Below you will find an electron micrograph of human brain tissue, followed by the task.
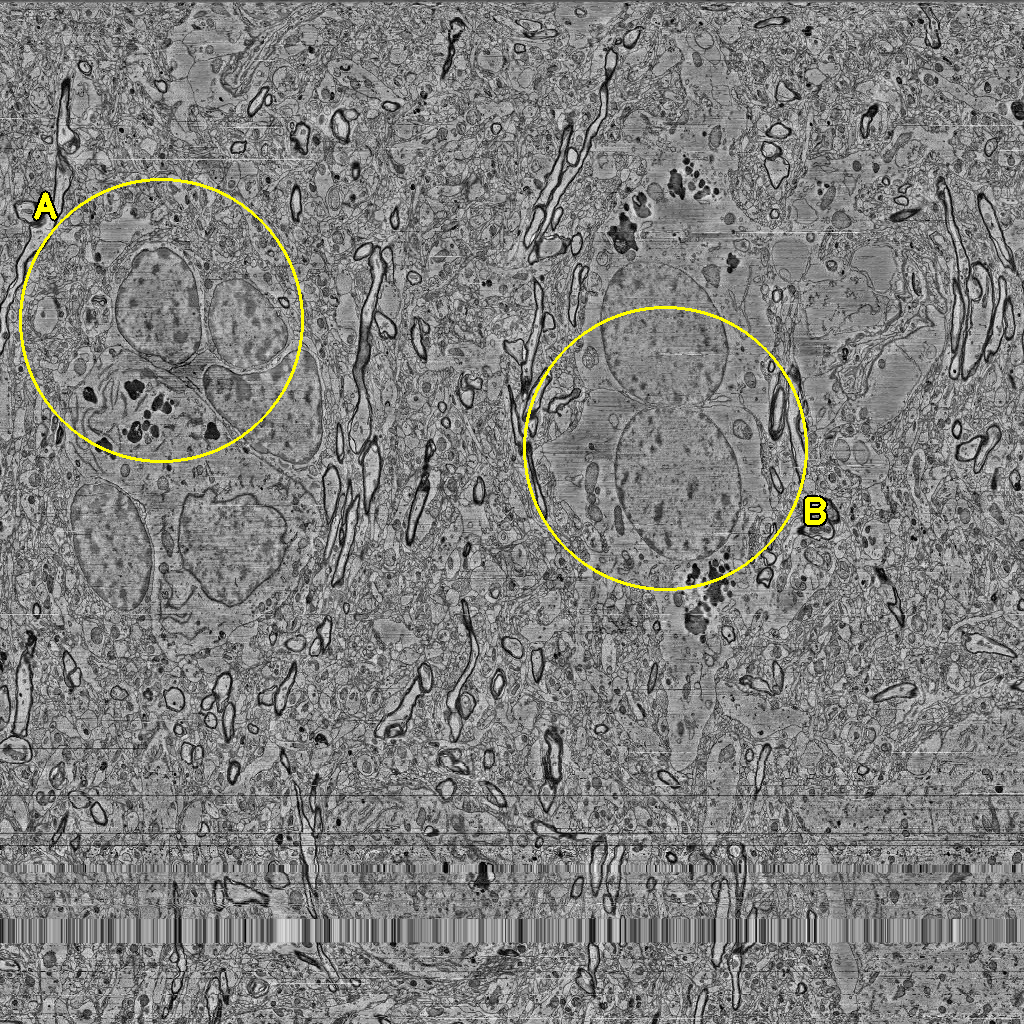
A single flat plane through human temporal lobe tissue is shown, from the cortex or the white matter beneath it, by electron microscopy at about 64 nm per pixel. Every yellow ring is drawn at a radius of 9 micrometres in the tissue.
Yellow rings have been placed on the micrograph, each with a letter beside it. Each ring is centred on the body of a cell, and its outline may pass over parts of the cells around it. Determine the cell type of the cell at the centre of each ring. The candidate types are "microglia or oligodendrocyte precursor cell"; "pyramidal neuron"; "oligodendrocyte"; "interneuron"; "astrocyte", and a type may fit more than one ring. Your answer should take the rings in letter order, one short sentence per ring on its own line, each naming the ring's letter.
The centre of ring A falls on a microglial cell or oligodendrocyte precursor cell.
The centre of ring B falls on an astrocyte.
